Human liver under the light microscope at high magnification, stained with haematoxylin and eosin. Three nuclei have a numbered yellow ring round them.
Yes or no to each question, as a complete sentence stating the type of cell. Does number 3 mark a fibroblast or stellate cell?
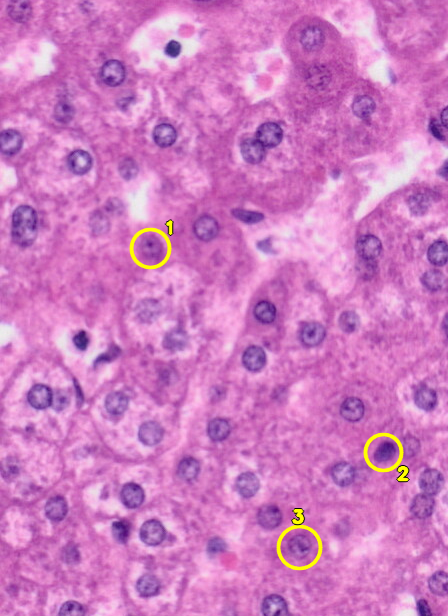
No, in terms of cell type, cell 3 is a hepatocyte, not a fibroblast or stellate cell.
